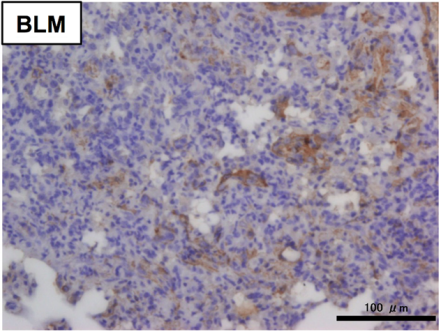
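This is lung tissue in which the delicate alveolar pattern has largely been replaced by dense, cell-crowded tissue. Through this thickened tissue run streaks and patches of brown stain. The contrast with the thin walls of normal lung is striking.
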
